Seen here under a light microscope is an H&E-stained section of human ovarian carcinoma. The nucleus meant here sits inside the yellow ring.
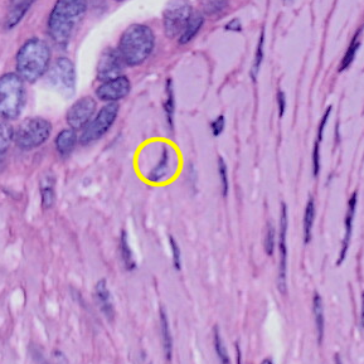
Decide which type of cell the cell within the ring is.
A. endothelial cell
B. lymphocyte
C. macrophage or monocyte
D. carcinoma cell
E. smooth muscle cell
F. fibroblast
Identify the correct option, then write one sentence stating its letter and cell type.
On this slide, the cell within the ring is a fibroblast, so option F is right.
